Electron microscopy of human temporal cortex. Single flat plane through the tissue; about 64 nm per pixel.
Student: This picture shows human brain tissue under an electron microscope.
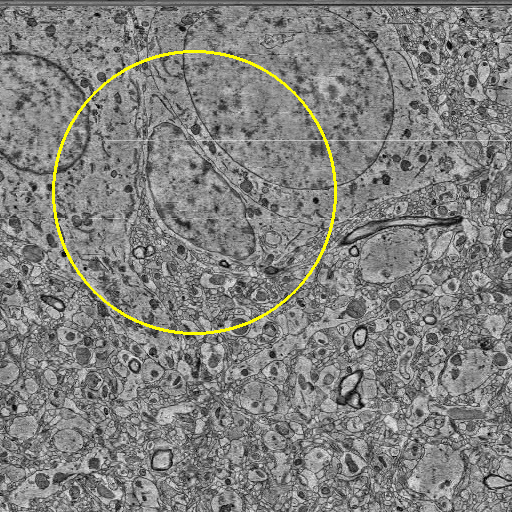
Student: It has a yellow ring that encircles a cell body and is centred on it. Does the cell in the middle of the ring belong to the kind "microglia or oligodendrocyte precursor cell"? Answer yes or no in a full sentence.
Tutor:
Yes, the cell in the middle of the ring in this picture is of that kind.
